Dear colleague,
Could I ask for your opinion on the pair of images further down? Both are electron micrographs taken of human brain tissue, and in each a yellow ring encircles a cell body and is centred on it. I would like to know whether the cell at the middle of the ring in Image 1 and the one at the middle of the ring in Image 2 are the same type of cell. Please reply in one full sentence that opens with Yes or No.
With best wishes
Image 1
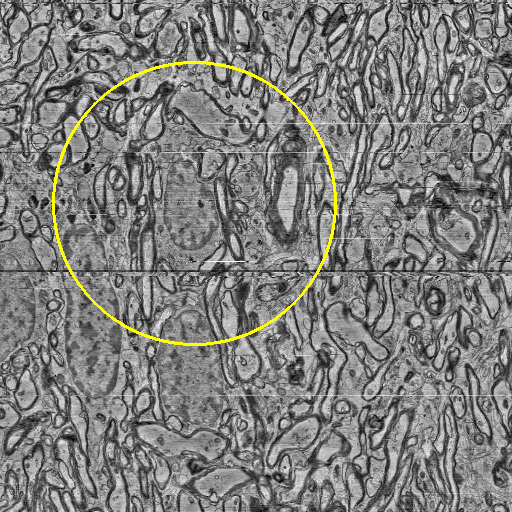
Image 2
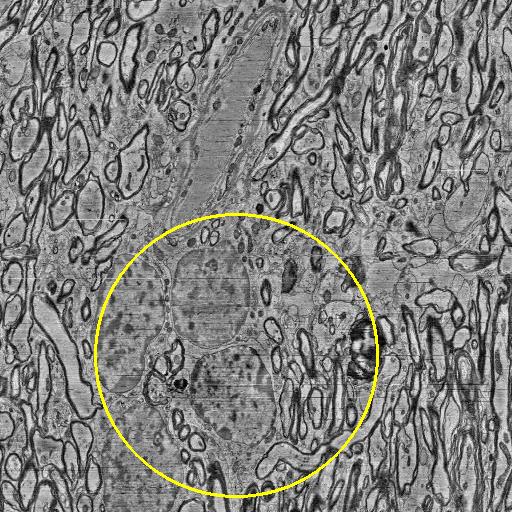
No, the cells at the ring centres in Image 1 and Image 2 are of two types.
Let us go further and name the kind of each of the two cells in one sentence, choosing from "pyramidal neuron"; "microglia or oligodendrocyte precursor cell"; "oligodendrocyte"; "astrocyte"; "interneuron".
The ring of the first picture is on an oligodendrocyte, the ring of the second on a microglial cell or oligodendrocyte precursor cell.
